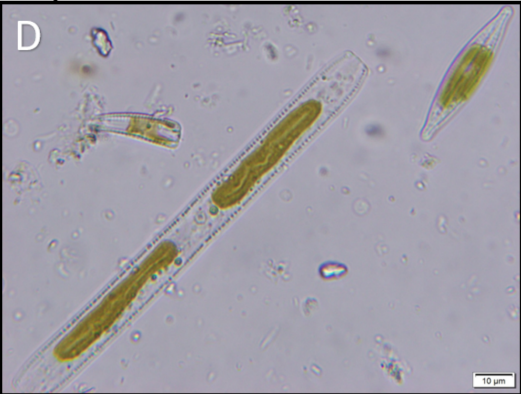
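The central cell is long and rod-like, enclosed in a transparent rigid wall whose margins bear rows of fine dots, and holds two elongated golden-brown plastid masses separated by a clear middle region. At the upper right lies a smaller spindle-shaped cell with pointed ends and a golden-green plastid. At the upper left a shorter cell with a clear wall and a pale brownish content is partly seen. Small particles of debris lie scattered in the clear background.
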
